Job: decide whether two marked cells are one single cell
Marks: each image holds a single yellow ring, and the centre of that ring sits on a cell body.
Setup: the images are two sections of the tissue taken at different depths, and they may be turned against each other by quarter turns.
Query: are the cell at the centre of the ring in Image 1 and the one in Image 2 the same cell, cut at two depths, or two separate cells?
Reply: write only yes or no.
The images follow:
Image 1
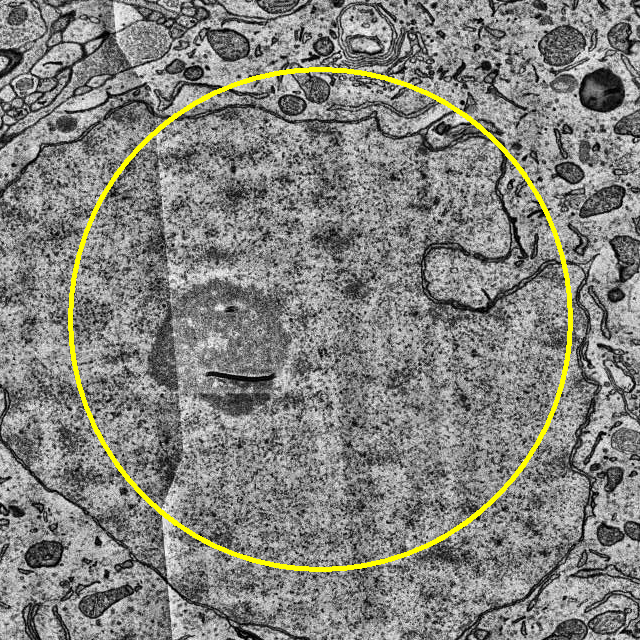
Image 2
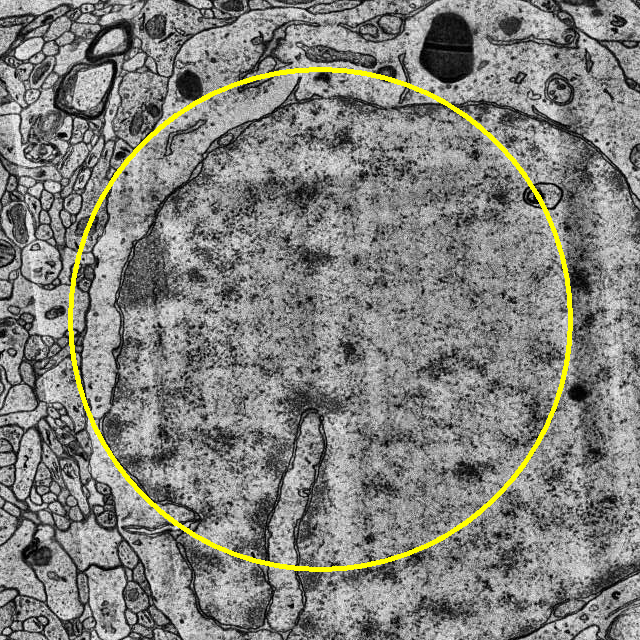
no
